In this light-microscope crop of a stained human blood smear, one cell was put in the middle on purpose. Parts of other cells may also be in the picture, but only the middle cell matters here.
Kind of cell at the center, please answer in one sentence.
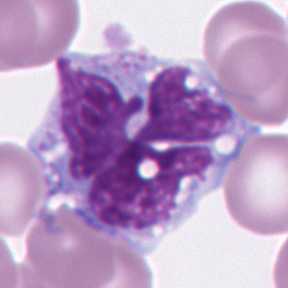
The identification for the central cell is a monocyte.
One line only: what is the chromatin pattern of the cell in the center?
The chromatin is fine; coarse clumps are not a feature here.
